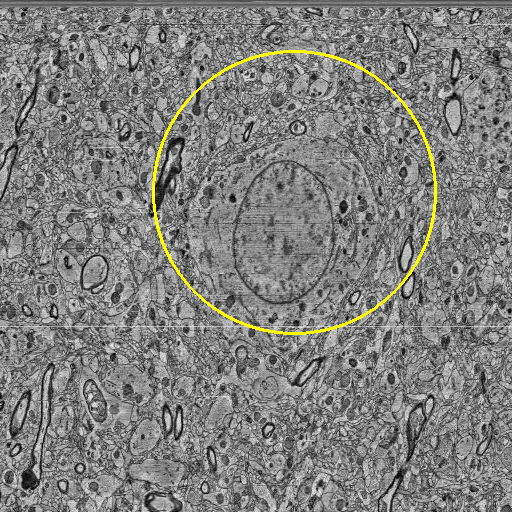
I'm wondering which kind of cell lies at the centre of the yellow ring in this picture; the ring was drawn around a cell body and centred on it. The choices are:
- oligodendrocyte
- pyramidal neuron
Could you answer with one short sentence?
At the centre of the ring lies a pyramidal neuron.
